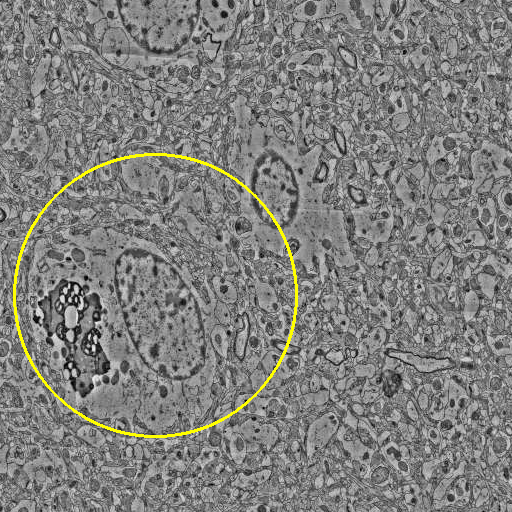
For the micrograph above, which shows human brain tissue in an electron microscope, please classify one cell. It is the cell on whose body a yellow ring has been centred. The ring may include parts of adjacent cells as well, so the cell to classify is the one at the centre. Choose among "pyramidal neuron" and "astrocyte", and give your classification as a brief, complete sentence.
I classify this cell as an astrocyte.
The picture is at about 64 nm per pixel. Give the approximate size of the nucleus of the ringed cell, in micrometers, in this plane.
The nucleus is about 9 micrometres in length and 5 in width, clearly longer than it is wide in this plane.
